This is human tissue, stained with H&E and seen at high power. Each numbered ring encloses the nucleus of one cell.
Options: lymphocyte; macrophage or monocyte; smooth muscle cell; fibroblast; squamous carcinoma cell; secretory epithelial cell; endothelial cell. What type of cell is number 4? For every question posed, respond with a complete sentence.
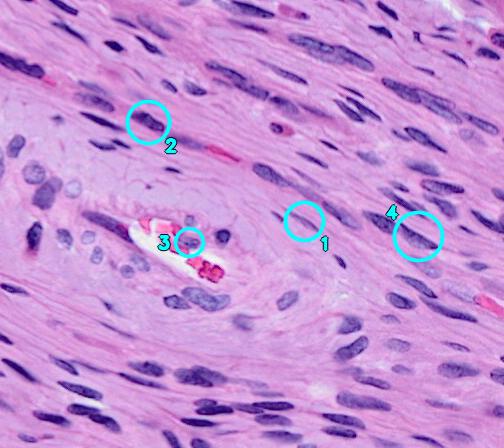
The cell whose nucleus carries the number 4 is a fibroblast.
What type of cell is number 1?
Denoted by the label 1 in the section is a fibroblast.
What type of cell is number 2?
Corresponding to an endothelial cell is the cell labelled 2.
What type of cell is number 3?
The numeral 3 marks an endothelial cell in this section.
